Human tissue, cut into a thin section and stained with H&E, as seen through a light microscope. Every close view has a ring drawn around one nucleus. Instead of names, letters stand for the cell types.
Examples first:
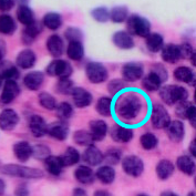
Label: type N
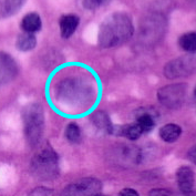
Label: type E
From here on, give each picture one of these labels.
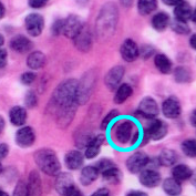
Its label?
type N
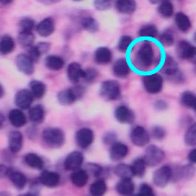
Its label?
type N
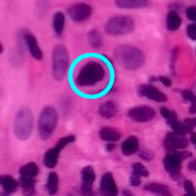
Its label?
type E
